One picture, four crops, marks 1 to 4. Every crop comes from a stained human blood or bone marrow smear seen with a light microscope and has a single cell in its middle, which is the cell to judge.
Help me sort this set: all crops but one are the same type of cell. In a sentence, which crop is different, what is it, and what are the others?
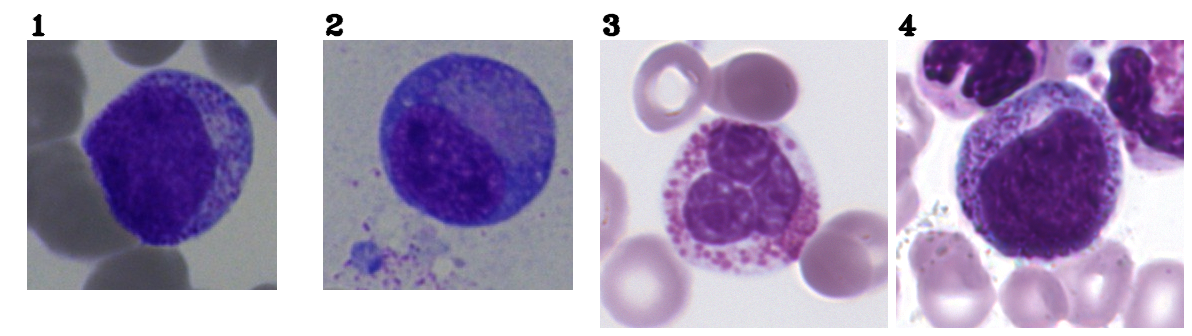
The cells centred in the other crops are all promyelocytes, but crop 3 is an eosinophil.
